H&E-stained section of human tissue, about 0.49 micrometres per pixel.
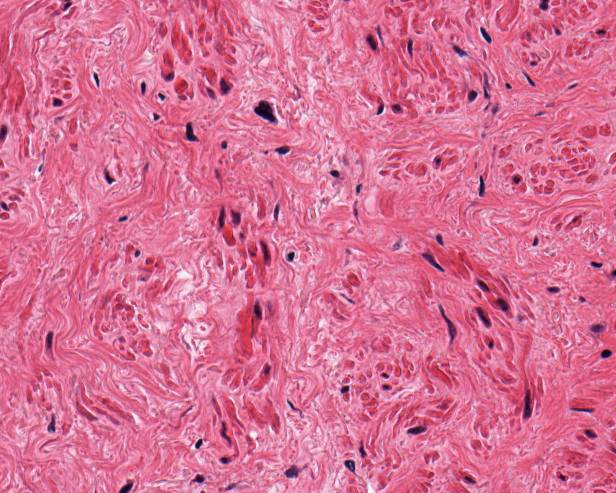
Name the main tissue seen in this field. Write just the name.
fibromuscular stroma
